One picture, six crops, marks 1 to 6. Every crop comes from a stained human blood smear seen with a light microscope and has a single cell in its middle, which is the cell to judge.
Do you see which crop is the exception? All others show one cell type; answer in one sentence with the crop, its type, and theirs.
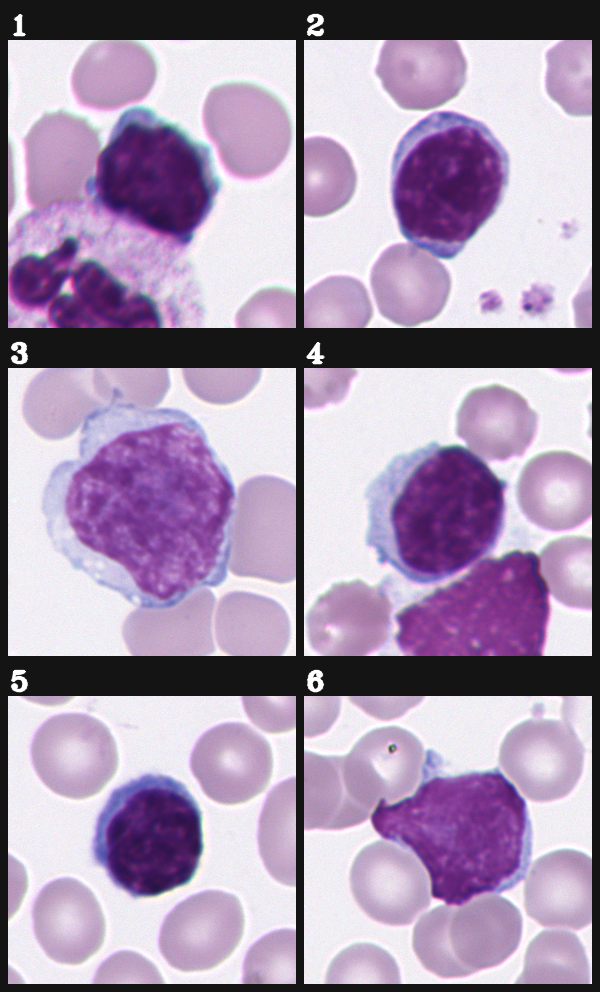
Crop 3 differs from its companions, showing a myeloblast where they show typical lymphocytes.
